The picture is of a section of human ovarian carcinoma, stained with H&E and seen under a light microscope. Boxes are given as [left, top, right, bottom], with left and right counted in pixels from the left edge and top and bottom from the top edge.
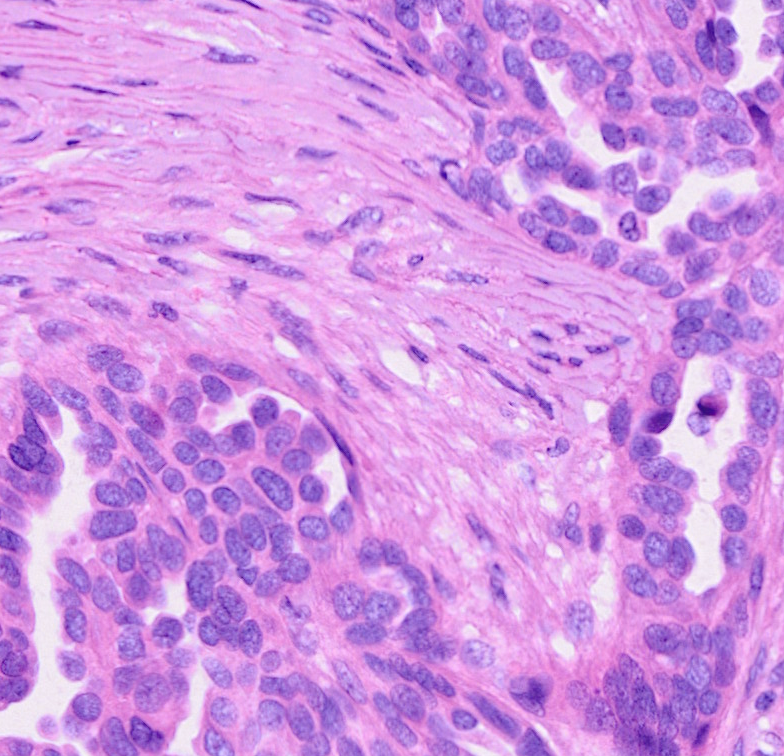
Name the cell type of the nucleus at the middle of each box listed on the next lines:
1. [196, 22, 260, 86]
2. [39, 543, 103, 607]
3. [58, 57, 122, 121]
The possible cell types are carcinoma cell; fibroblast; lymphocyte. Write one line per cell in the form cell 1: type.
cell 1: fibroblast
cell 2: carcinoma cell
cell 3: fibroblast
